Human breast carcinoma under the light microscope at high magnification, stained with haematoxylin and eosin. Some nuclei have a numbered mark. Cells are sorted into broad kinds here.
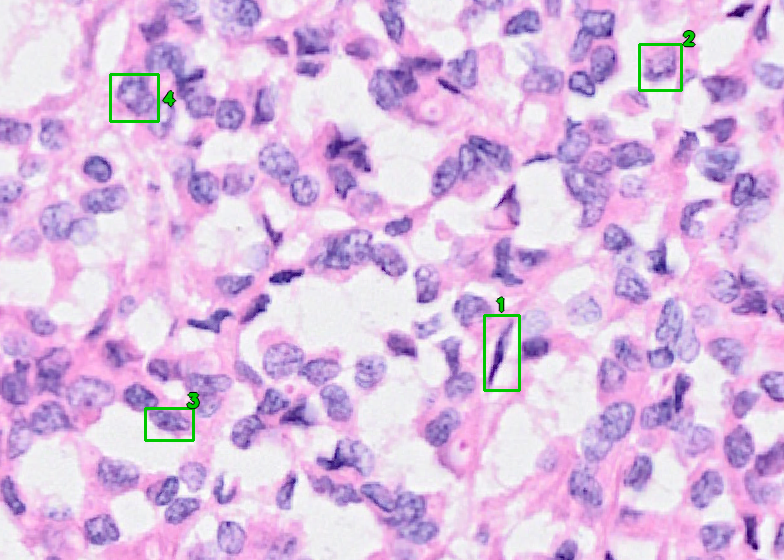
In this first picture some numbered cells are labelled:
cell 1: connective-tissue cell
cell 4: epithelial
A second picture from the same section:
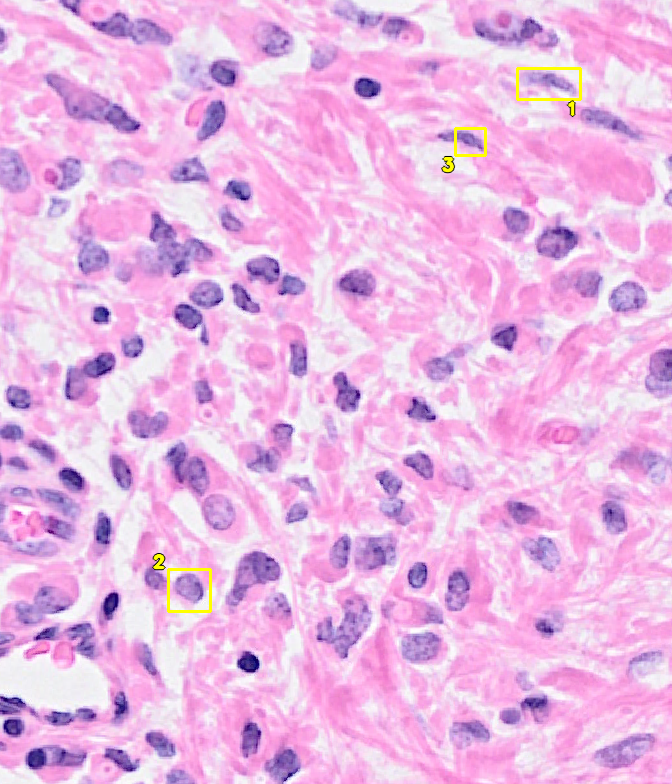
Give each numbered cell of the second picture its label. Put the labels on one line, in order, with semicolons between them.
connective-tissue cell; epithelial; connective-tissue cell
